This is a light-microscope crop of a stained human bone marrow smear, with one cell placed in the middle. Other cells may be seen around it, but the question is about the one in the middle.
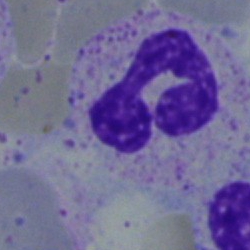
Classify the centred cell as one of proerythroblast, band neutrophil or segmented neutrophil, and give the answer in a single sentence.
In this crop, the cell at the very middle is a segmented neutrophil.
